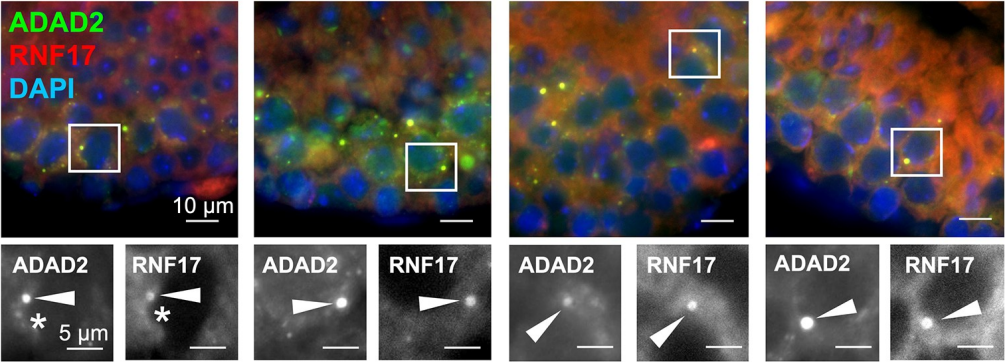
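These are four views of seminiferous tubule epithelium crowded with large spermatocytes that have round blue nuclei. The cytoplasm between the nuclei shows a diffuse orange-red tone. Bright yellow-green dots, where green and red overlap, lie in the cytoplasm close to the nuclei. In the enlarged insets, the dots occur in both green and red channels at the same position, with one larger round granule marked by an arrowhead and, in one inset, a smaller one beside it.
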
